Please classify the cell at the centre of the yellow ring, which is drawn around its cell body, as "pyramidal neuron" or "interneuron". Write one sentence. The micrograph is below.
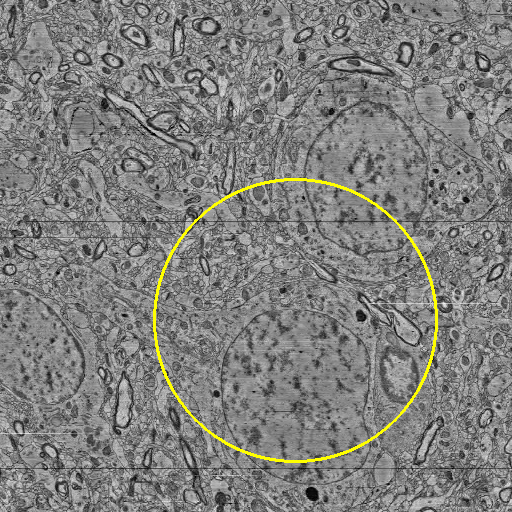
The cell at the ring's centre is classified as a pyramidal neuron.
